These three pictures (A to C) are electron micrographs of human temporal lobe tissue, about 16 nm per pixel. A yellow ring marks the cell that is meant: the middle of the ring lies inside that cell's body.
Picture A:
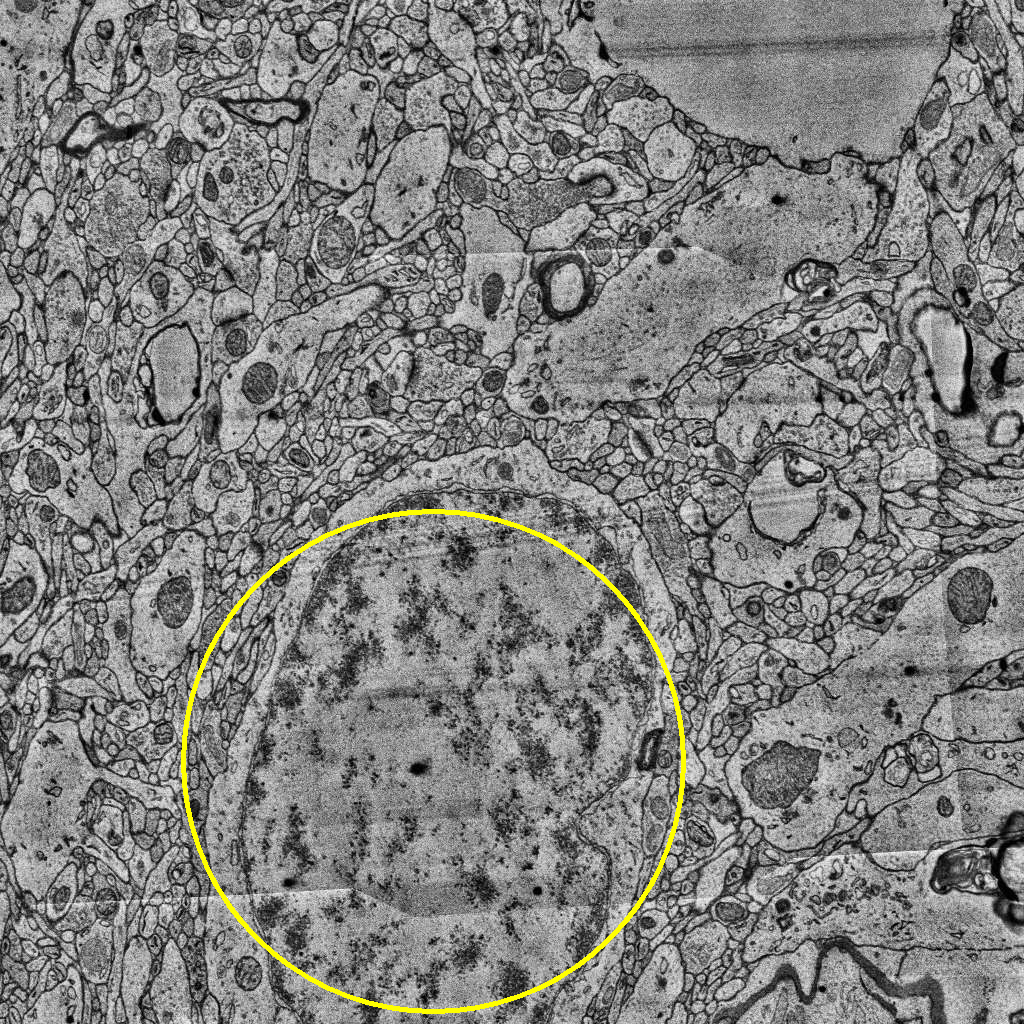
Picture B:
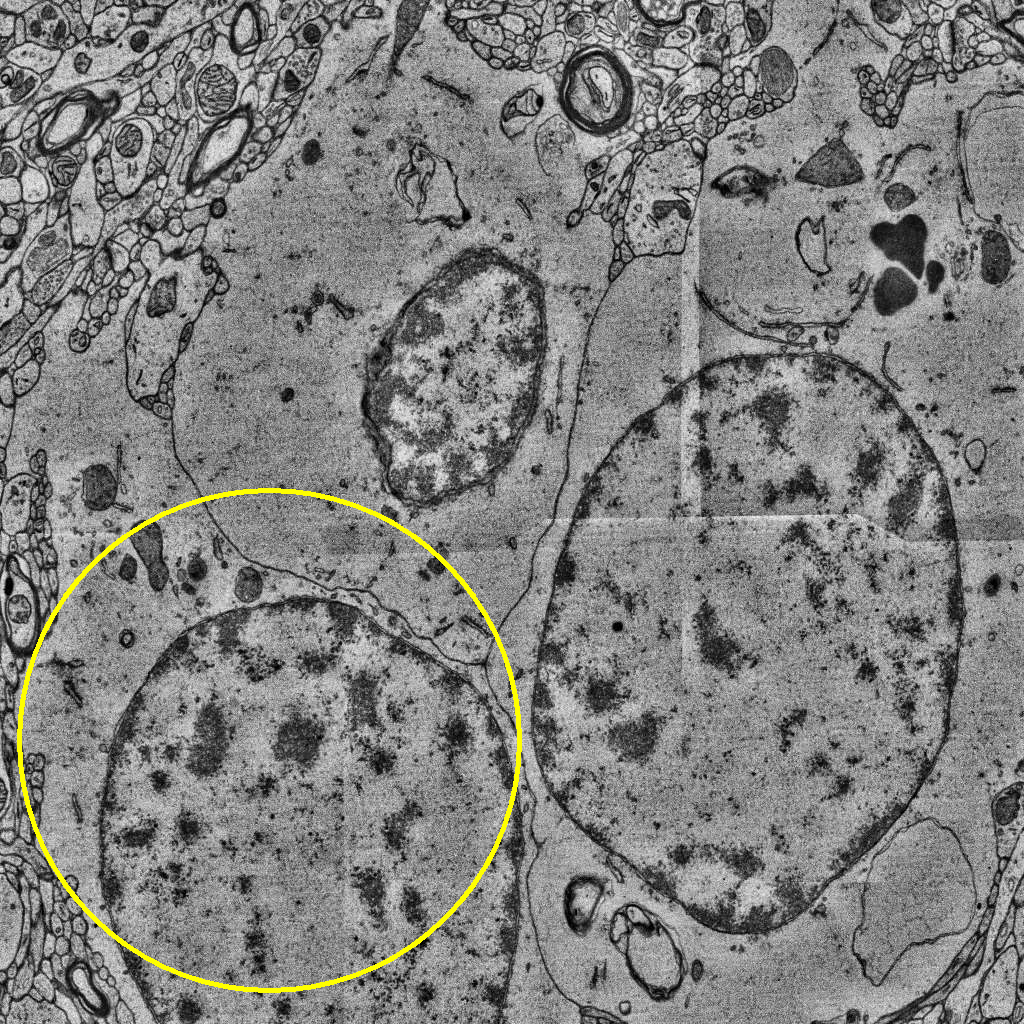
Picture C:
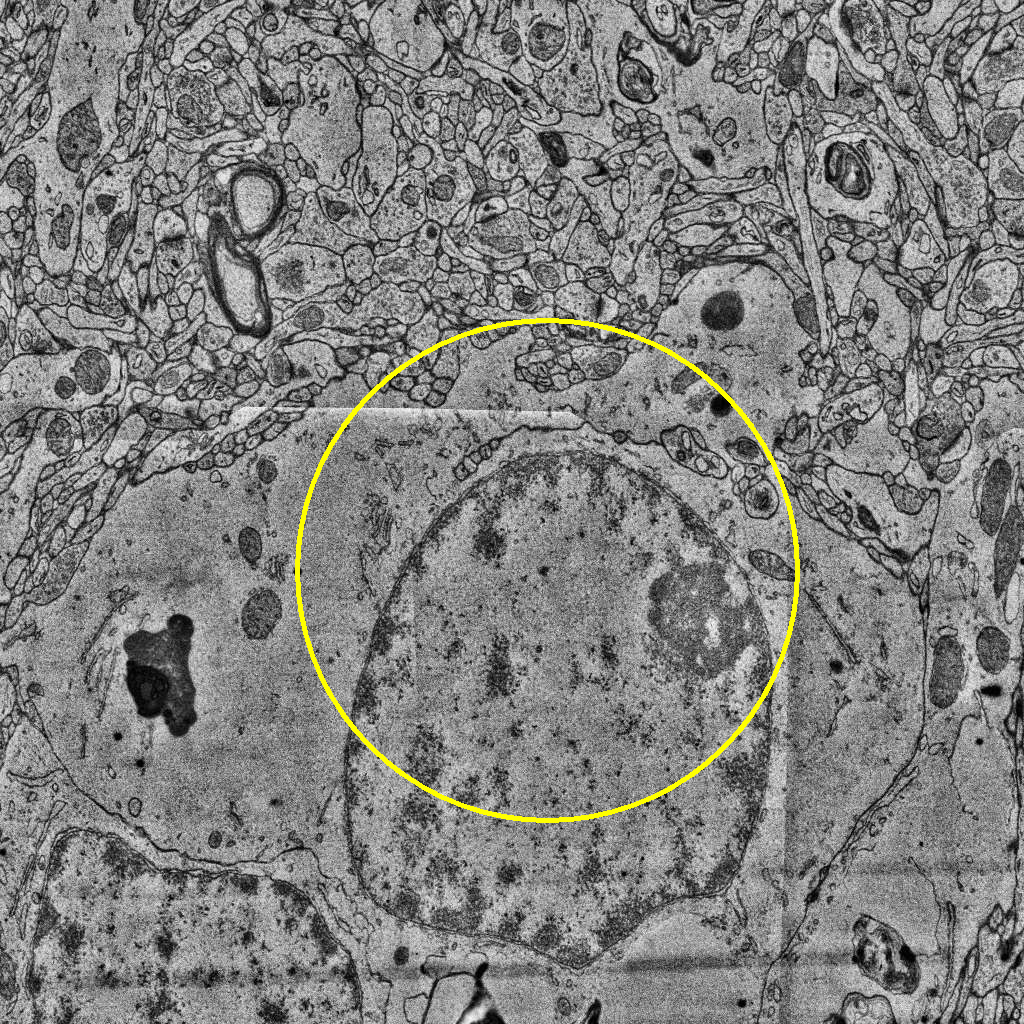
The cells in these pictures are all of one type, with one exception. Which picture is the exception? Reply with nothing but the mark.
A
